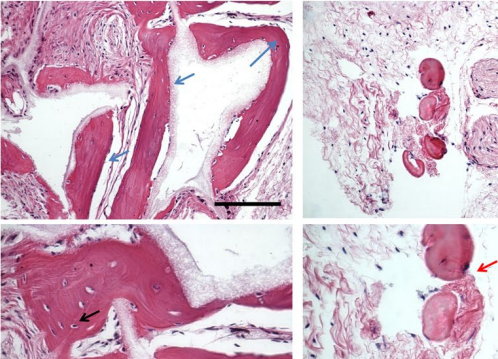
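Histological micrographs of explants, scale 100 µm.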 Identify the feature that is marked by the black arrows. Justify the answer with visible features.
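The black arrows point to small clear spaces within the dense pink matrix.
Answer: osteocyte lacunae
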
